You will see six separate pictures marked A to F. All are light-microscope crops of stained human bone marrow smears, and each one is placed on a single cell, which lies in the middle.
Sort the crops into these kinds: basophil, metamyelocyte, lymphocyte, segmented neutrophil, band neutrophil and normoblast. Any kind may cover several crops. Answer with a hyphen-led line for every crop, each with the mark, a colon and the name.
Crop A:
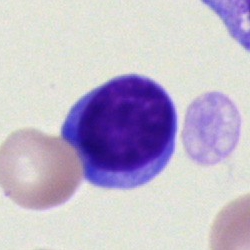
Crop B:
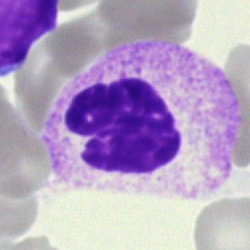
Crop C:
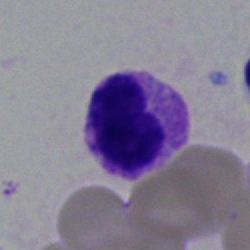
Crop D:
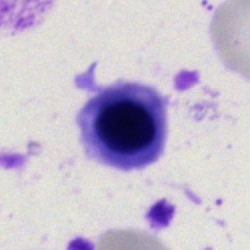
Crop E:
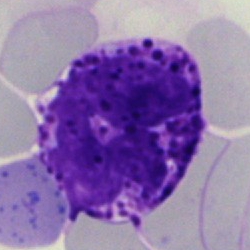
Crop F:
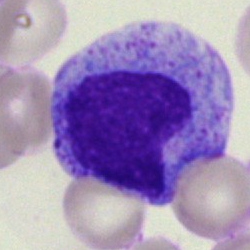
- A: lymphocyte
- B: segmented neutrophil
- C: basophil
- D: normoblast
- E: basophil
- F: metamyelocyte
